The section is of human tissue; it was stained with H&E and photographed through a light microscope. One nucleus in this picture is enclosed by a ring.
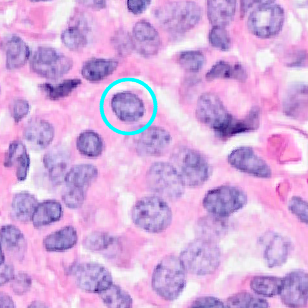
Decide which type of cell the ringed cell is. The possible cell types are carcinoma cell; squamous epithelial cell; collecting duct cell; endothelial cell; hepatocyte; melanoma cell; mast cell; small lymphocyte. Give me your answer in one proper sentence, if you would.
Speaking plainly, the ringed cell is nothing other than a carcinoma cell.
